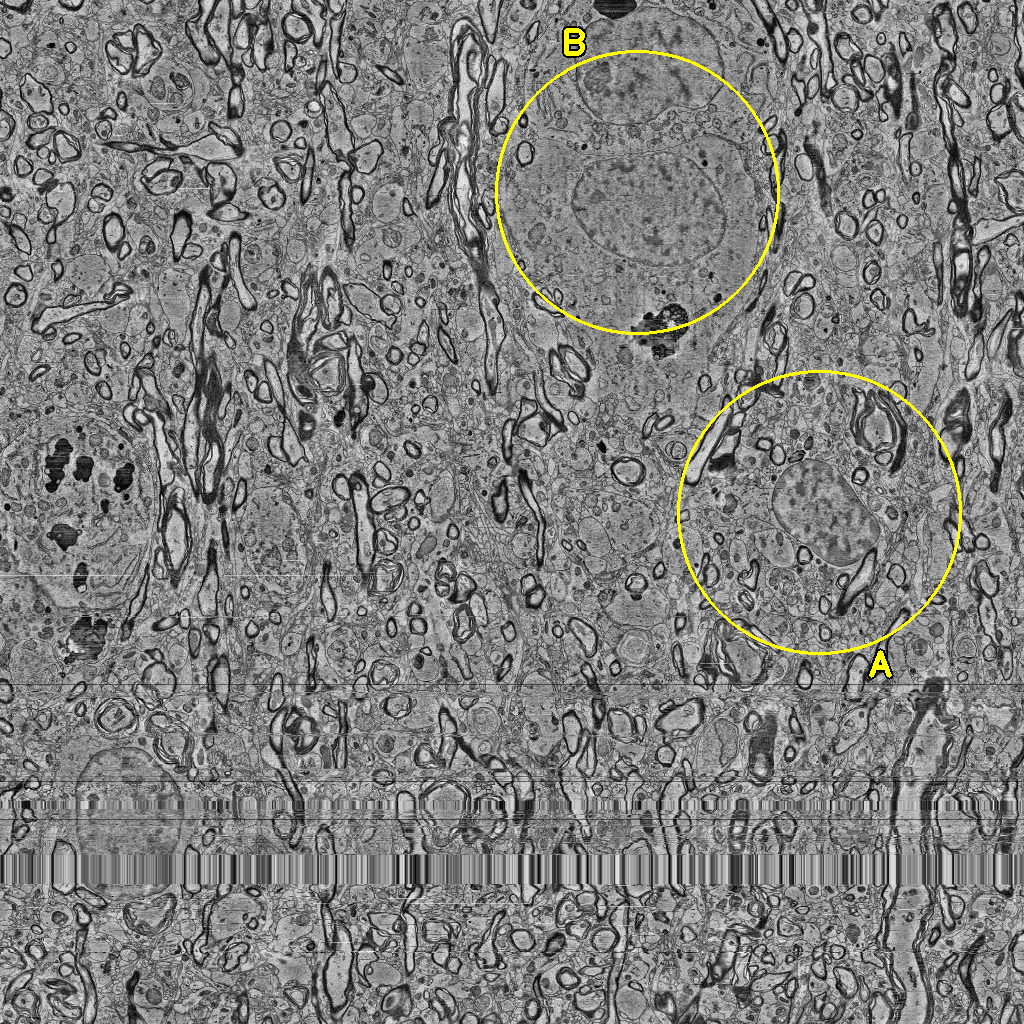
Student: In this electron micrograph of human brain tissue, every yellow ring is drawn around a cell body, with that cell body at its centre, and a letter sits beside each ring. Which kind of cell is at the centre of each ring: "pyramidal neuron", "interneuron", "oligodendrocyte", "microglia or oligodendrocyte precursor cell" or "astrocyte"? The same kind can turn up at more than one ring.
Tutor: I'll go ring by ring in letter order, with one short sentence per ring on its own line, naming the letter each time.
Ring A: the cell at its centre is a microglial cell or oligodendrocyte precursor cell.
Ring B: the cell at its centre is an astrocyte.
